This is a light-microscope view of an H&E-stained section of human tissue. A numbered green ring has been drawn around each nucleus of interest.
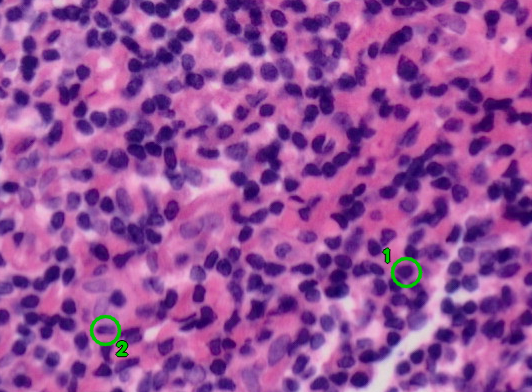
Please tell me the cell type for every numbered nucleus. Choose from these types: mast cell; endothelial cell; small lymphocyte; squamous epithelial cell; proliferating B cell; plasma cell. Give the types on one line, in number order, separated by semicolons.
small lymphocyte; endothelial cell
